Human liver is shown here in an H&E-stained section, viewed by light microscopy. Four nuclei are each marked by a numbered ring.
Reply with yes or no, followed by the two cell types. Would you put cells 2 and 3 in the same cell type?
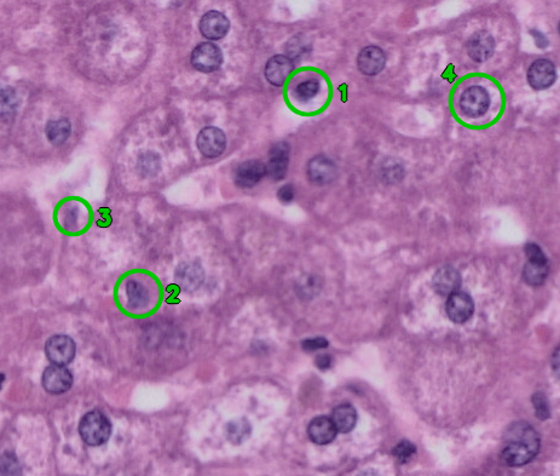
No, hold on, cell 2 is an endothelial cell and cell 3 is a Kupffer cell.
